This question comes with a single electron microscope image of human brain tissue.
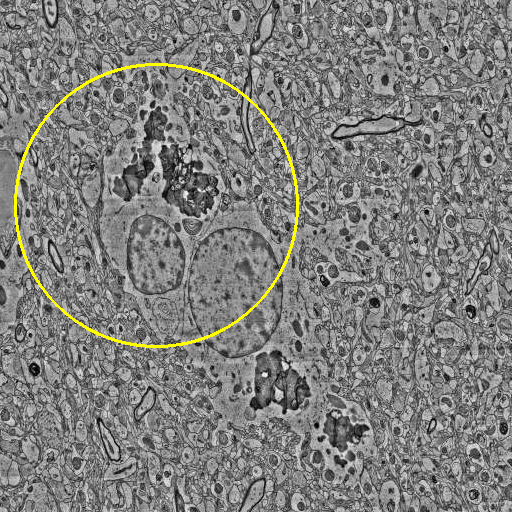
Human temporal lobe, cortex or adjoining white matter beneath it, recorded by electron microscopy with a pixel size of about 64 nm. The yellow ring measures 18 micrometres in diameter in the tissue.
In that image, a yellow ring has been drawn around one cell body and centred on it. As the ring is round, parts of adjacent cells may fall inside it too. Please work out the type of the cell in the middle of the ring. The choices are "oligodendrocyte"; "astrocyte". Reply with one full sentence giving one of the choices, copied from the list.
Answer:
Of the choices, an astrocyte is the cell sitting in the middle of the ring.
